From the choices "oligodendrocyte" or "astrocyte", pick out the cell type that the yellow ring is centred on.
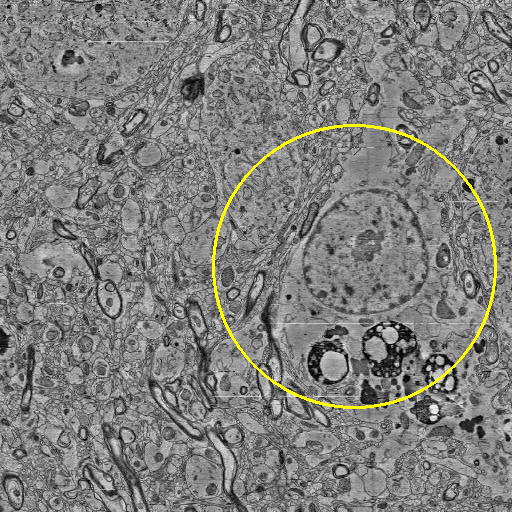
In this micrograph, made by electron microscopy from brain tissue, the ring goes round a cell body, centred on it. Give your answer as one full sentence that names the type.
The yellow ring is centred on an astrocyte, whose cell body it encircles in the picture.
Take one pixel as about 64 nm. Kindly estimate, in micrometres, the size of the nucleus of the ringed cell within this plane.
In this plane, approximately 8 micrometres across.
